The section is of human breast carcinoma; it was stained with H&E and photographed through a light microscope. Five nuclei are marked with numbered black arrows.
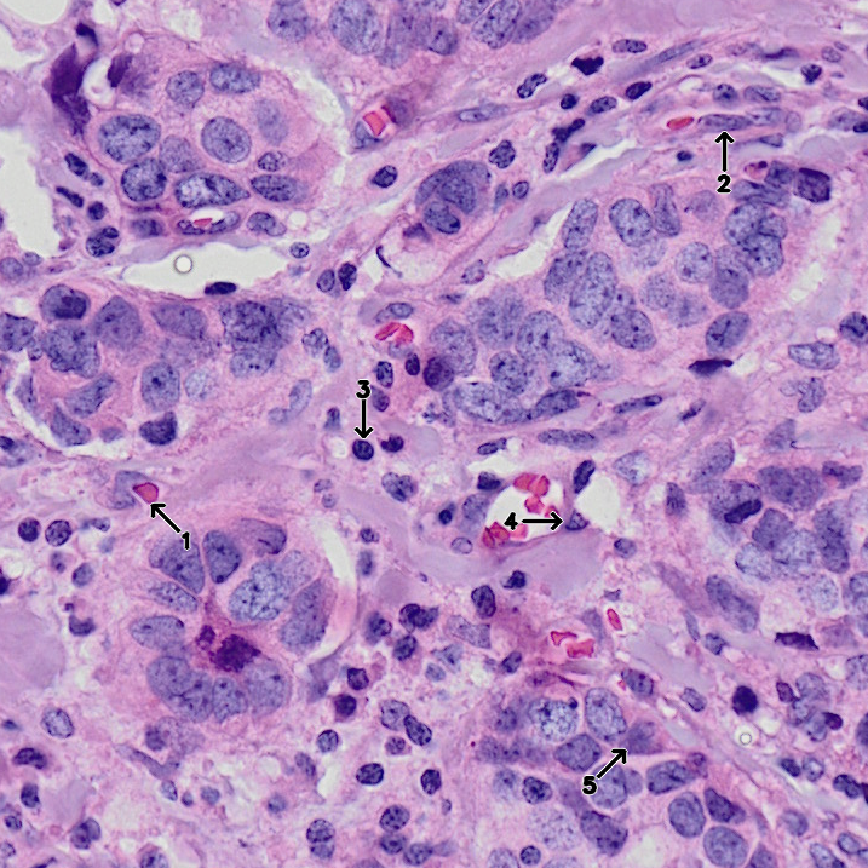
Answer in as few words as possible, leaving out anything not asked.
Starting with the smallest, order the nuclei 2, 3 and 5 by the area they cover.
3, 2, 5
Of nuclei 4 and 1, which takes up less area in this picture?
4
